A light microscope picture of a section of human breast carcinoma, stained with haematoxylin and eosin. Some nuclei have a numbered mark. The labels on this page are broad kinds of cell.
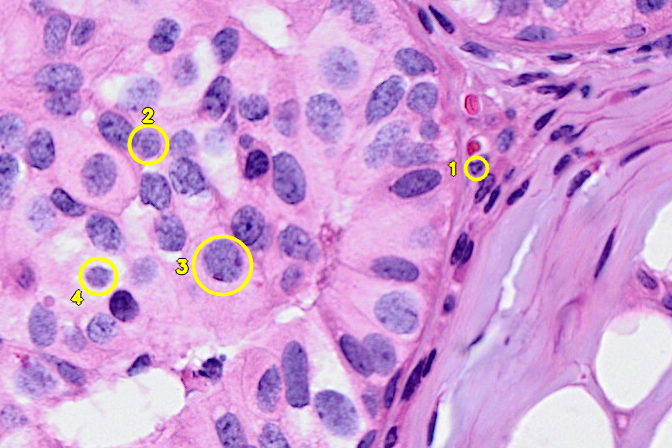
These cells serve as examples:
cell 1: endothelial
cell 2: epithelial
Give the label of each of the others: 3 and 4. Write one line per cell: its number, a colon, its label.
3: epithelial
4: epithelial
